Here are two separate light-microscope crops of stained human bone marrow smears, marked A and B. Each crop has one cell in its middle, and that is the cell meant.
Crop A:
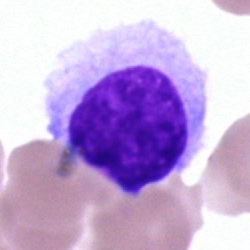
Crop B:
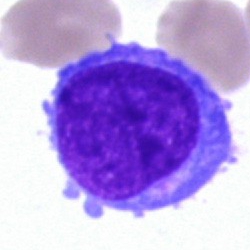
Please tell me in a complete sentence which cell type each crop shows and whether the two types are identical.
No, within crop A lies a hairy cell, and within crop B lies a blast.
